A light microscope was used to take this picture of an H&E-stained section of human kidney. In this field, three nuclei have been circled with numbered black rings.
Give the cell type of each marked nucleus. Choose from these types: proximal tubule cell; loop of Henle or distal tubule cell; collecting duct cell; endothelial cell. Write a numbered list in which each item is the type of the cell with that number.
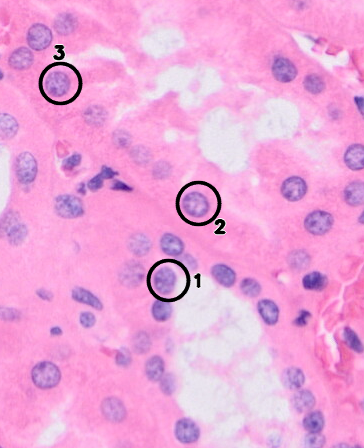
1. loop of Henle or distal tubule cell
2. proximal tubule cell
3. proximal tubule cell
